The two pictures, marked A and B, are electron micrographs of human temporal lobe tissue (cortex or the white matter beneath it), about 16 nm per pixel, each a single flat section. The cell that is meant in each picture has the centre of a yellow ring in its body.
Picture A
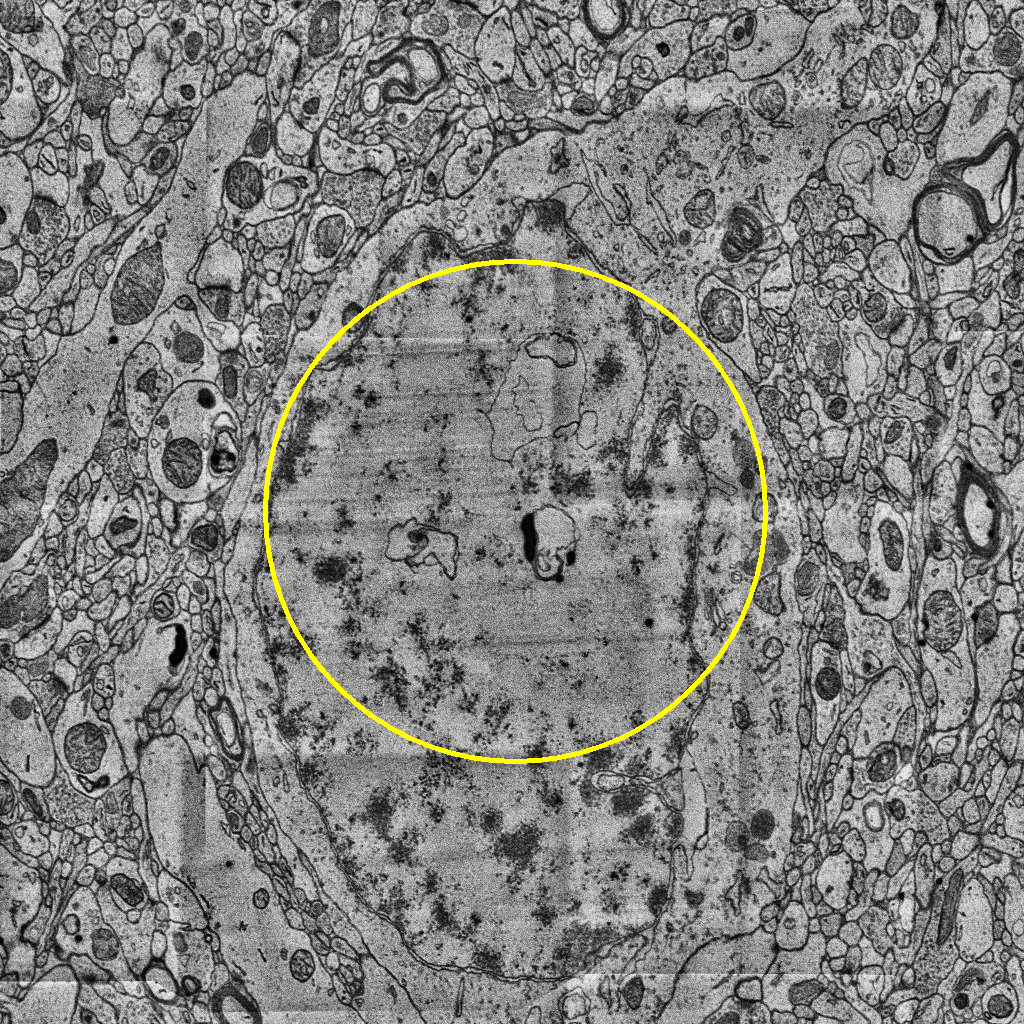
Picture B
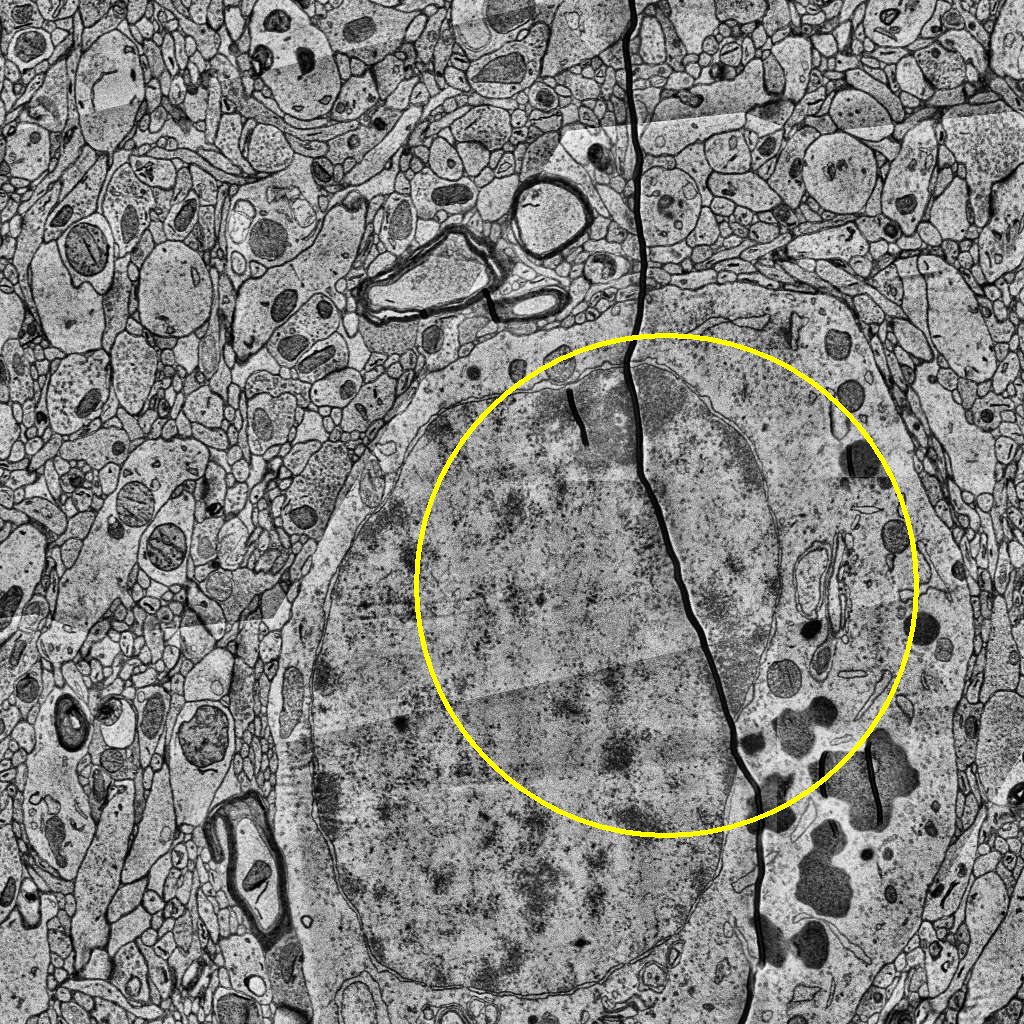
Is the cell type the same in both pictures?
Yes, both are interneurons.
